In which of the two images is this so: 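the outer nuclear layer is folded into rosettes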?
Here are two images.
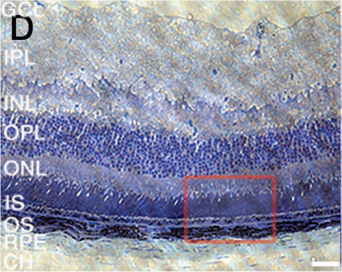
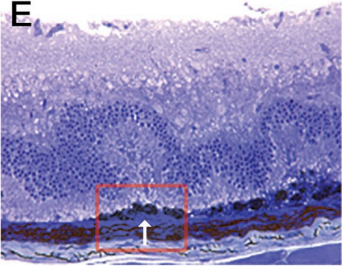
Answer: The second image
